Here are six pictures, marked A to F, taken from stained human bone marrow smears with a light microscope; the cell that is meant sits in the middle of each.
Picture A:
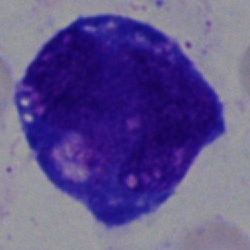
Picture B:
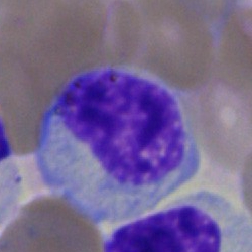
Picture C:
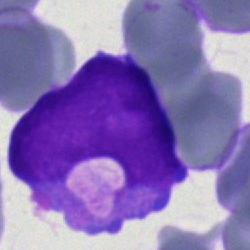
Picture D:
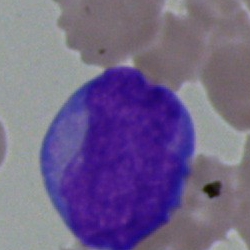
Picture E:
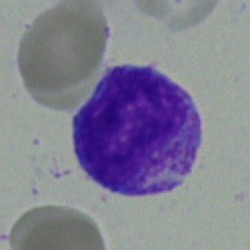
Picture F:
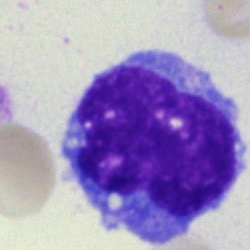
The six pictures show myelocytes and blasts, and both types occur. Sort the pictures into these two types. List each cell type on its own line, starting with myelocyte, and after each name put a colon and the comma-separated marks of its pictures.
myelocyte: B, E
blast: A, C, D, F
